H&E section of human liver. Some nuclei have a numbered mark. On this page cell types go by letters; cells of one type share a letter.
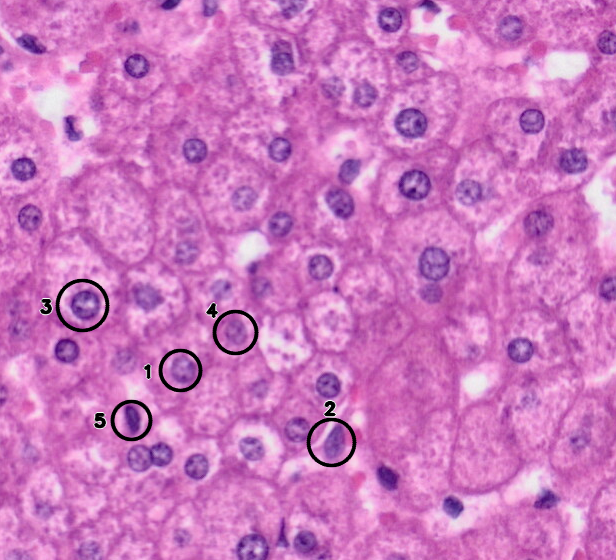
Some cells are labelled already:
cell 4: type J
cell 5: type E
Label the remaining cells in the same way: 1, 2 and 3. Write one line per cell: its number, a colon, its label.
1: type J
2: type E
3: type J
